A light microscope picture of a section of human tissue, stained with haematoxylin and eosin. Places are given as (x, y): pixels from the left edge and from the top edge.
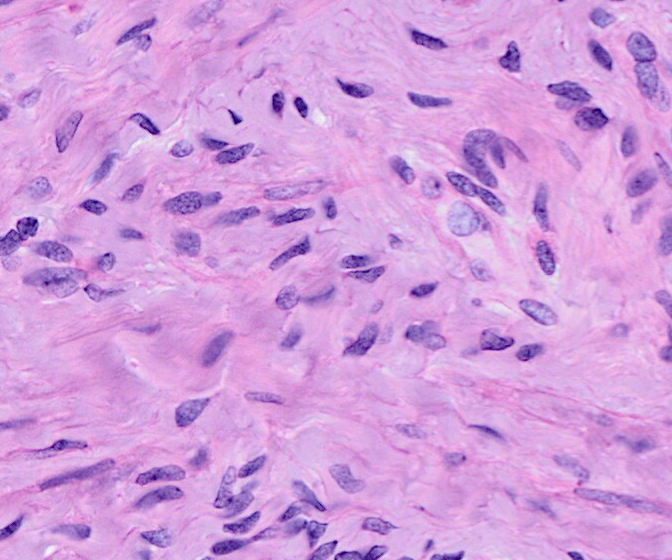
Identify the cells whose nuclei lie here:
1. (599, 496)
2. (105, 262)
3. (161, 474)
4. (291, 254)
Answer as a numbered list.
1. smooth muscle cell
2. fibroblast
3. fibroblast
4. fibroblast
